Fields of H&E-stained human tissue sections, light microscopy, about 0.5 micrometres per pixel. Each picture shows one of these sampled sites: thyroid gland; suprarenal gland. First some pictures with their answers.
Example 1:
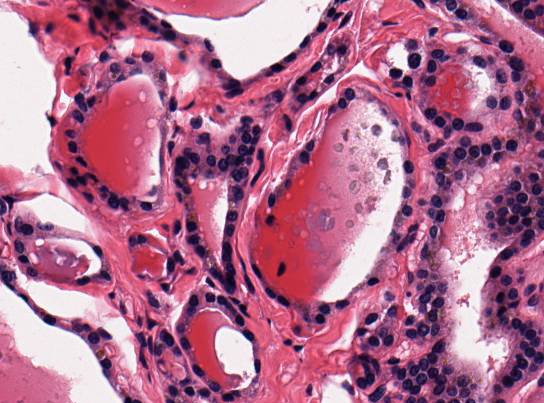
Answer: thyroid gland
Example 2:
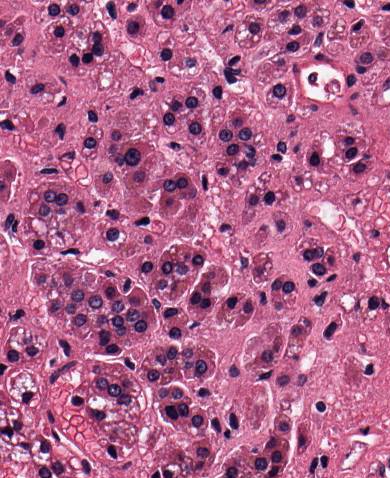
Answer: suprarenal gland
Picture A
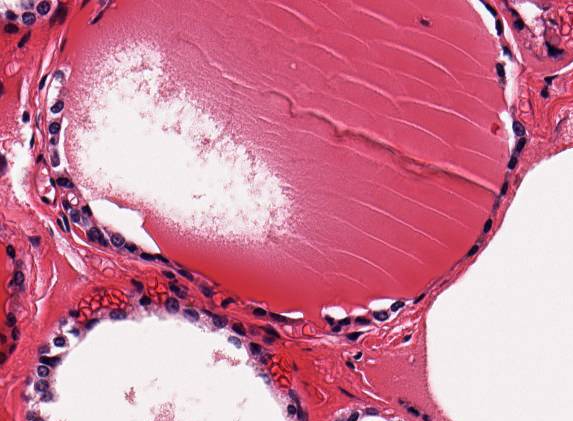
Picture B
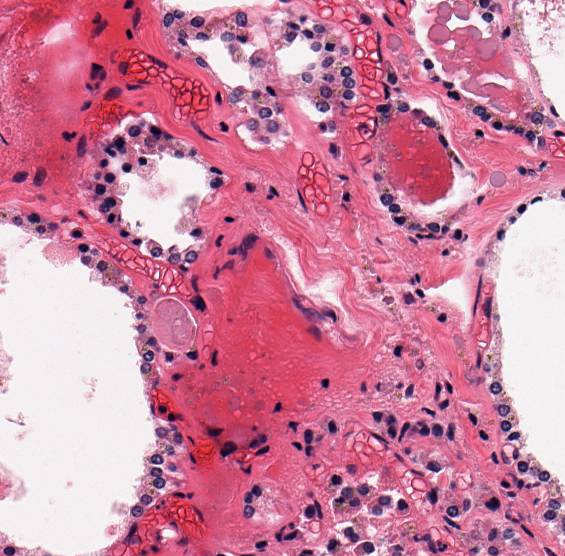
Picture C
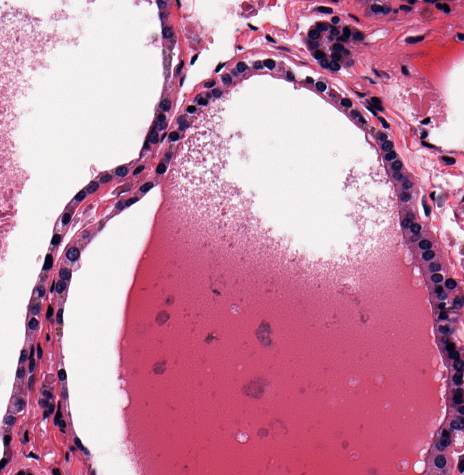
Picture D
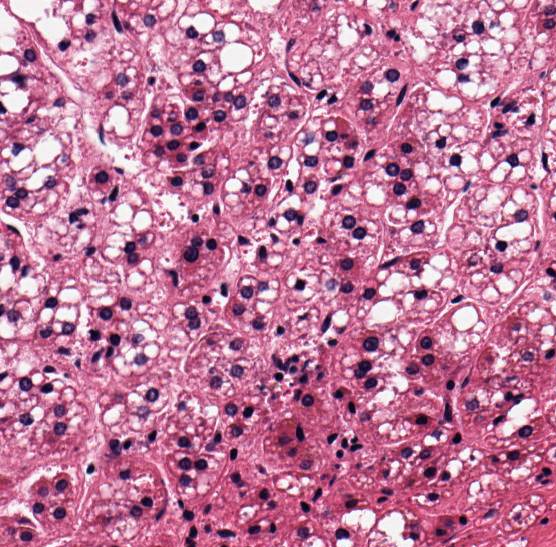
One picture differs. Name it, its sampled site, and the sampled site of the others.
D: suprarenal gland; all the others: thyroid gland.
